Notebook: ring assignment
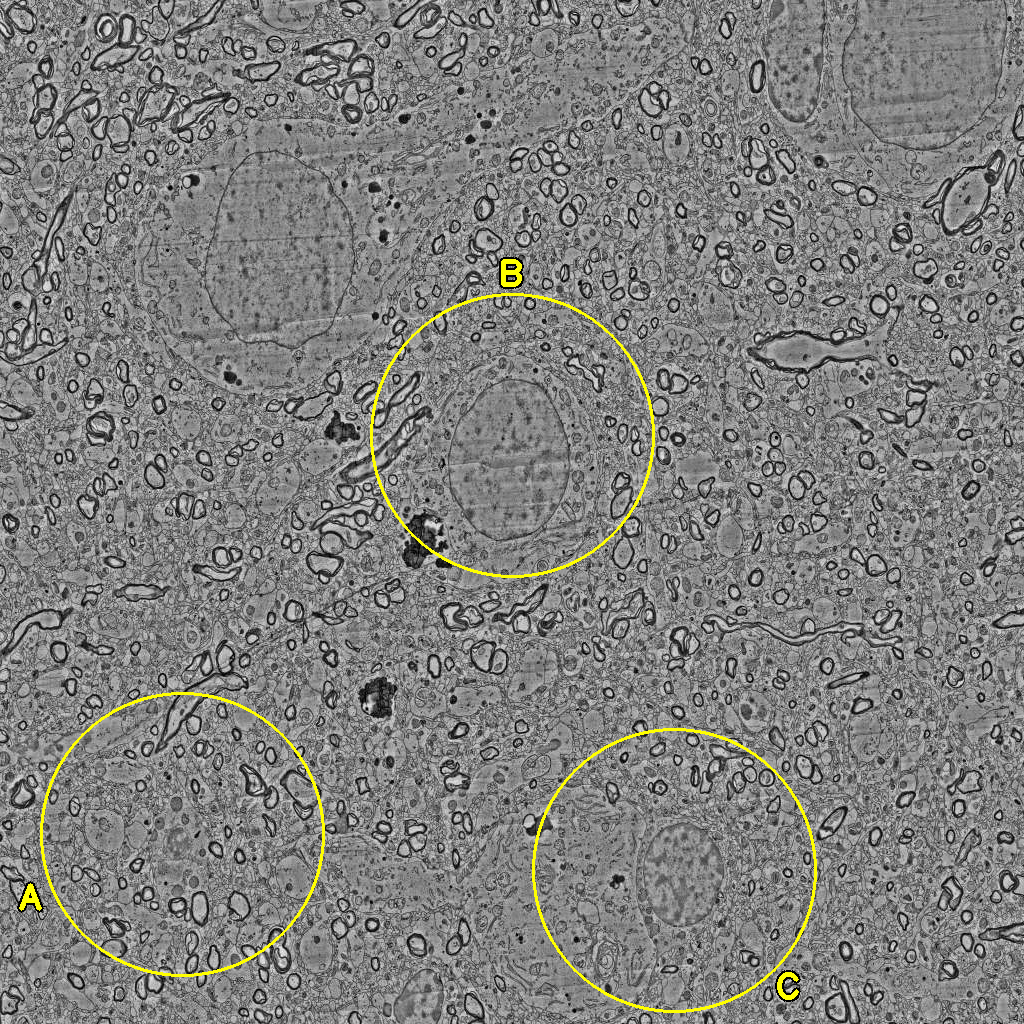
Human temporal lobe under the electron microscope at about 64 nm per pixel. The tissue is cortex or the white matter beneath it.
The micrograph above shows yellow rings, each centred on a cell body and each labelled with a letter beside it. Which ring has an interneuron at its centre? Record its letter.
B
